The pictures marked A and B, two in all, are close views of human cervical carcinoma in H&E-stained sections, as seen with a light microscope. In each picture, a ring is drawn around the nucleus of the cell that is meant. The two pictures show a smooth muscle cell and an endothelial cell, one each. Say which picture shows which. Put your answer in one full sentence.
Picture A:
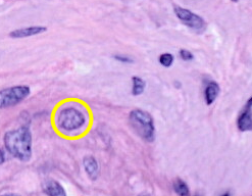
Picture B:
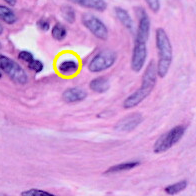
Picture B shows an endothelial cell, while picture A shows a smooth muscle cell.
